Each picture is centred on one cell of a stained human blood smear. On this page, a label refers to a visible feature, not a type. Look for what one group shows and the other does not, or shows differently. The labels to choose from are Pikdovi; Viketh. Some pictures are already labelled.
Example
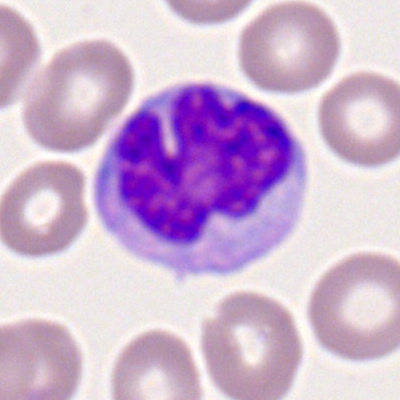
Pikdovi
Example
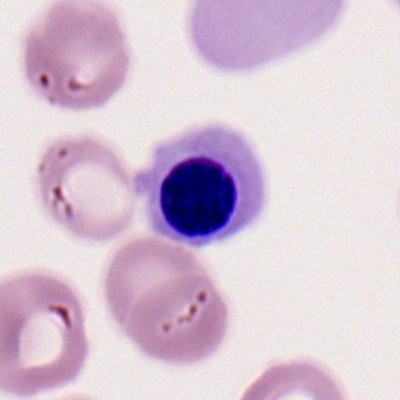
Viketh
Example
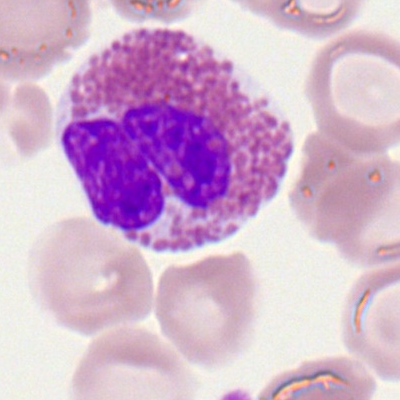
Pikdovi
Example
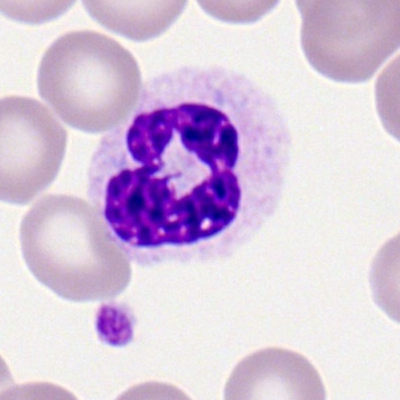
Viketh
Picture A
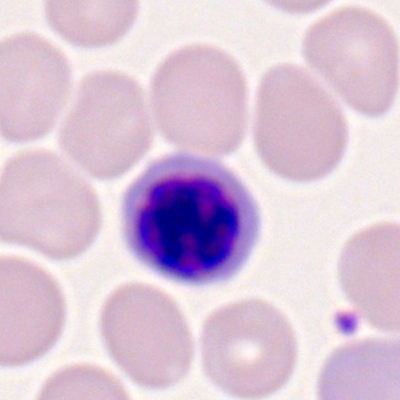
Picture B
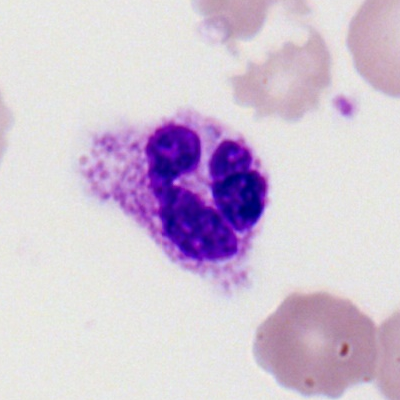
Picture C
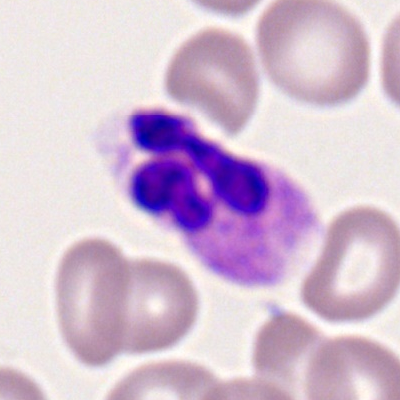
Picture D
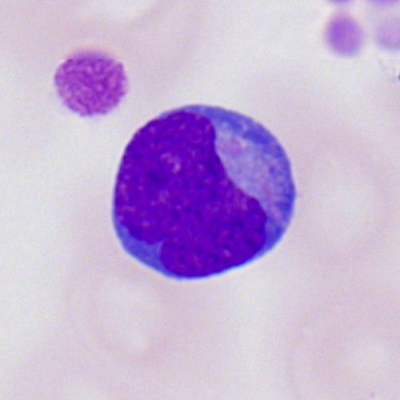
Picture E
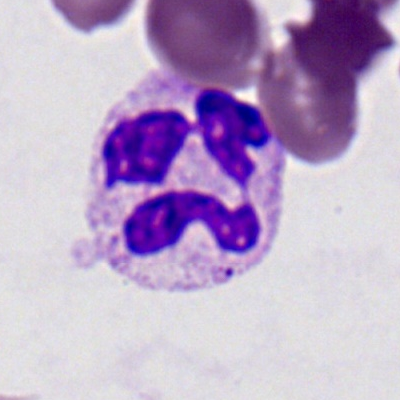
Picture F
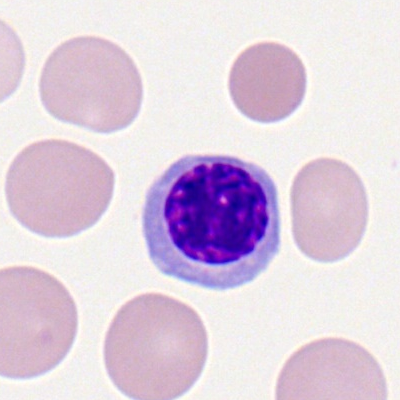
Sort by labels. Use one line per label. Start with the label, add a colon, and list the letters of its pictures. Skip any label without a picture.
Pikdovi: A, D, F
Viketh: B, C, E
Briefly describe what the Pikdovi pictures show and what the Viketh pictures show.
Seen in Pikdovi: smooth outline; seen in Viketh: ragged outline or projections.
